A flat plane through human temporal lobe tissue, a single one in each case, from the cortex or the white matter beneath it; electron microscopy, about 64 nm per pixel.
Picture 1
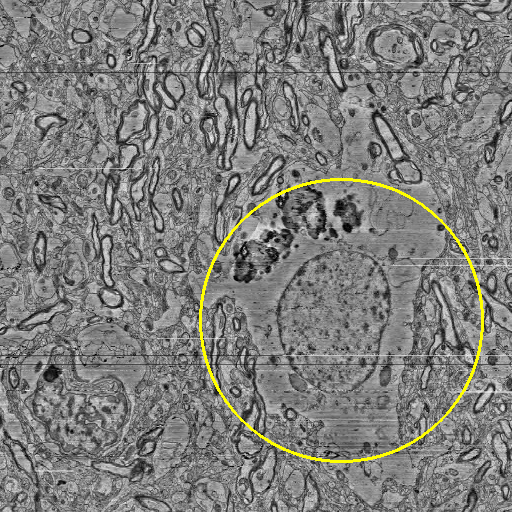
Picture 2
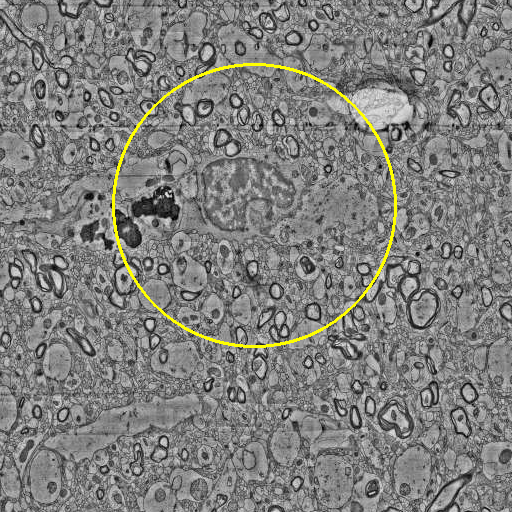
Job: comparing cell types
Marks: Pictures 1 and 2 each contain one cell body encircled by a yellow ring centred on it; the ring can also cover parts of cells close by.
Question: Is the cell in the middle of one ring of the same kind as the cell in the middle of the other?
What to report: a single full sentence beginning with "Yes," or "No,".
No, the cell at the ring centre in Picture 1 and its partner in Picture 2 are of two kinds.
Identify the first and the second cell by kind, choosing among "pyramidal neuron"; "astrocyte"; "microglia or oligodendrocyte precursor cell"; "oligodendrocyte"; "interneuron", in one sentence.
The one in the first picture is an astrocyte, while the one in the second is an oligodendrocyte.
